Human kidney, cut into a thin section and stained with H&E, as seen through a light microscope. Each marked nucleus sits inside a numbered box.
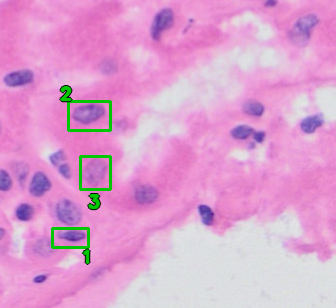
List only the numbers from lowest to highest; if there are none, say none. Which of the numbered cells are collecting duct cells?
1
